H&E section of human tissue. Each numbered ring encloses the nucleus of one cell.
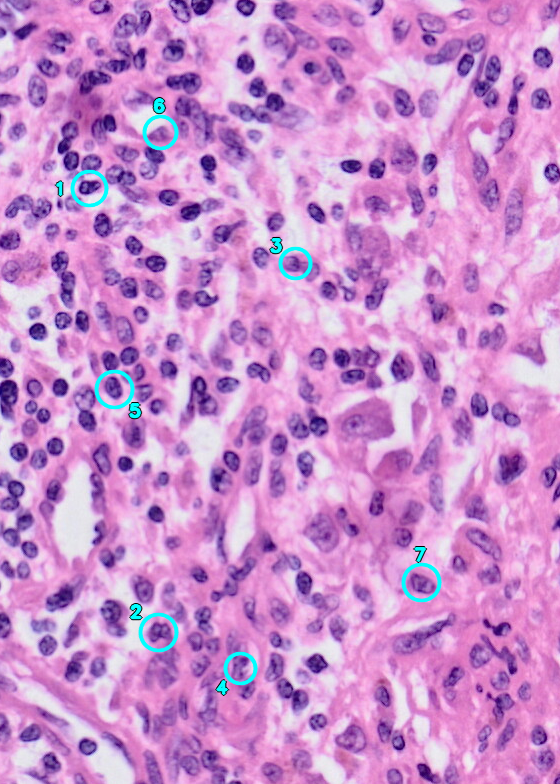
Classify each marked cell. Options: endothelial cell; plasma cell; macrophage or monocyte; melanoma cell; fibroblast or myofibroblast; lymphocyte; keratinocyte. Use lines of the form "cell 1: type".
cell 1: lymphocyte
cell 2: macrophage or monocyte
cell 3: macrophage or monocyte
cell 4: endothelial cell
cell 5: lymphocyte
cell 6: endothelial cell
cell 7: macrophage or monocyte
